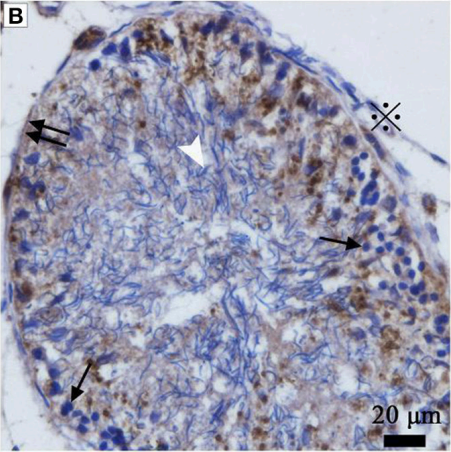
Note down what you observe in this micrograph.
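A cross-section of a seminiferous tubule shows germ cells lining the wall and a center filled with spermatozoa. The germ cells near the edge have round dark blue nuclei, and among them lie many coarse brown granular deposits, densest in the outer half of the epithelium. The center of the tubule is crowded with thin, elongated, curved blue spermatozoa scattered among a pale, faintly brown meshwork. A thin boundary encloses the tubule, with loose interstitial tissue outside it.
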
